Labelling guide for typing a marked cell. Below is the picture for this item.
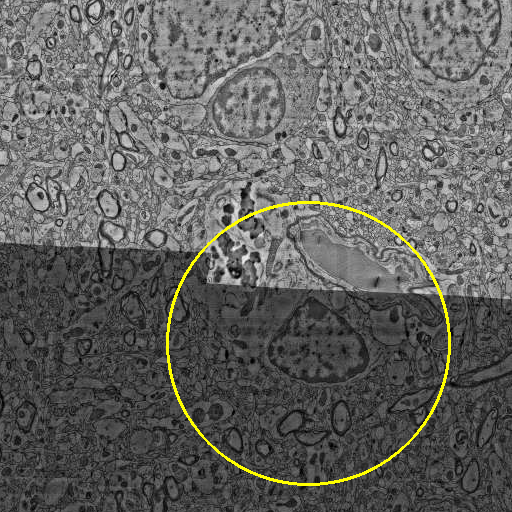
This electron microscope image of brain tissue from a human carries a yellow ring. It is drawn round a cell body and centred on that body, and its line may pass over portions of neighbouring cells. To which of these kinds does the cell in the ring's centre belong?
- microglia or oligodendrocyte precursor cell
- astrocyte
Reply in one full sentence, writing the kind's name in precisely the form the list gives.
Here we have a microglial cell or oligodendrocyte precursor cell at the centre of the yellow ring in the picture.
